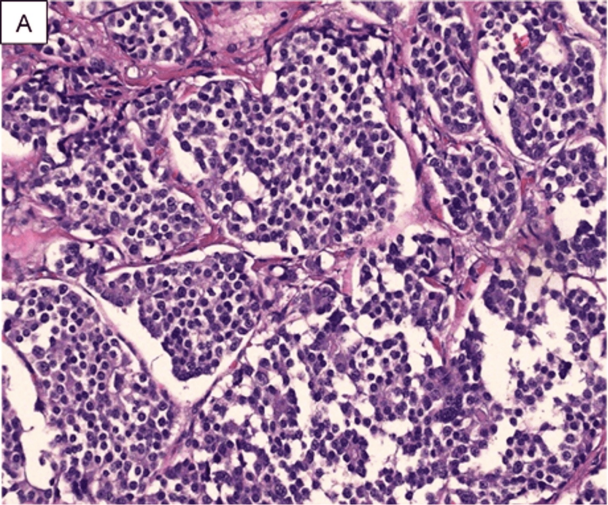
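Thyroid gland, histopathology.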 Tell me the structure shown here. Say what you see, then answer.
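Solid nests. Crowded cells form rounded, compact groups. Thin fibrous strands separate the groups.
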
